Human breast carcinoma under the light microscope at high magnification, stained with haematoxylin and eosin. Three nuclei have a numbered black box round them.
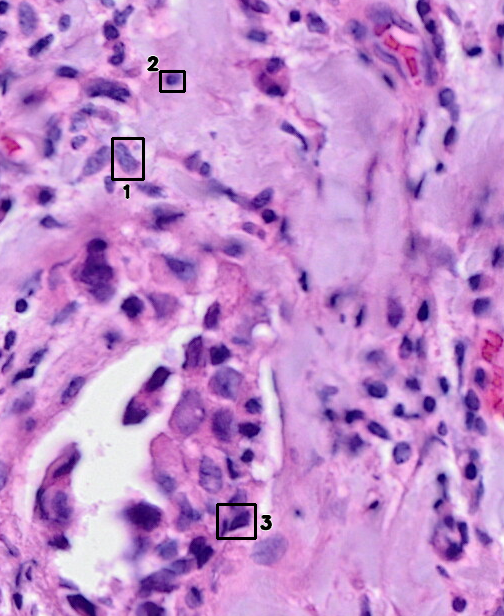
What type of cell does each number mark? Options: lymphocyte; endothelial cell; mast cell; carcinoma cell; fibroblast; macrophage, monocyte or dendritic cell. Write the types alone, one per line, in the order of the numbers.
mast cell
lymphocyte
carcinoma cell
